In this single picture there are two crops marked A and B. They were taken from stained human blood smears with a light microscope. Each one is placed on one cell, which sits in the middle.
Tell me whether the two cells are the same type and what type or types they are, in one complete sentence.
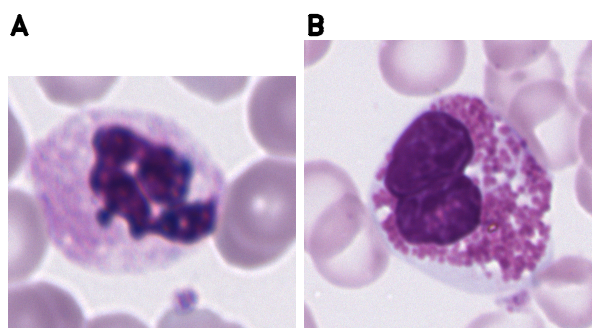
No, crop A is the one with a segmented neutrophil; crop B has an eosinophil.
